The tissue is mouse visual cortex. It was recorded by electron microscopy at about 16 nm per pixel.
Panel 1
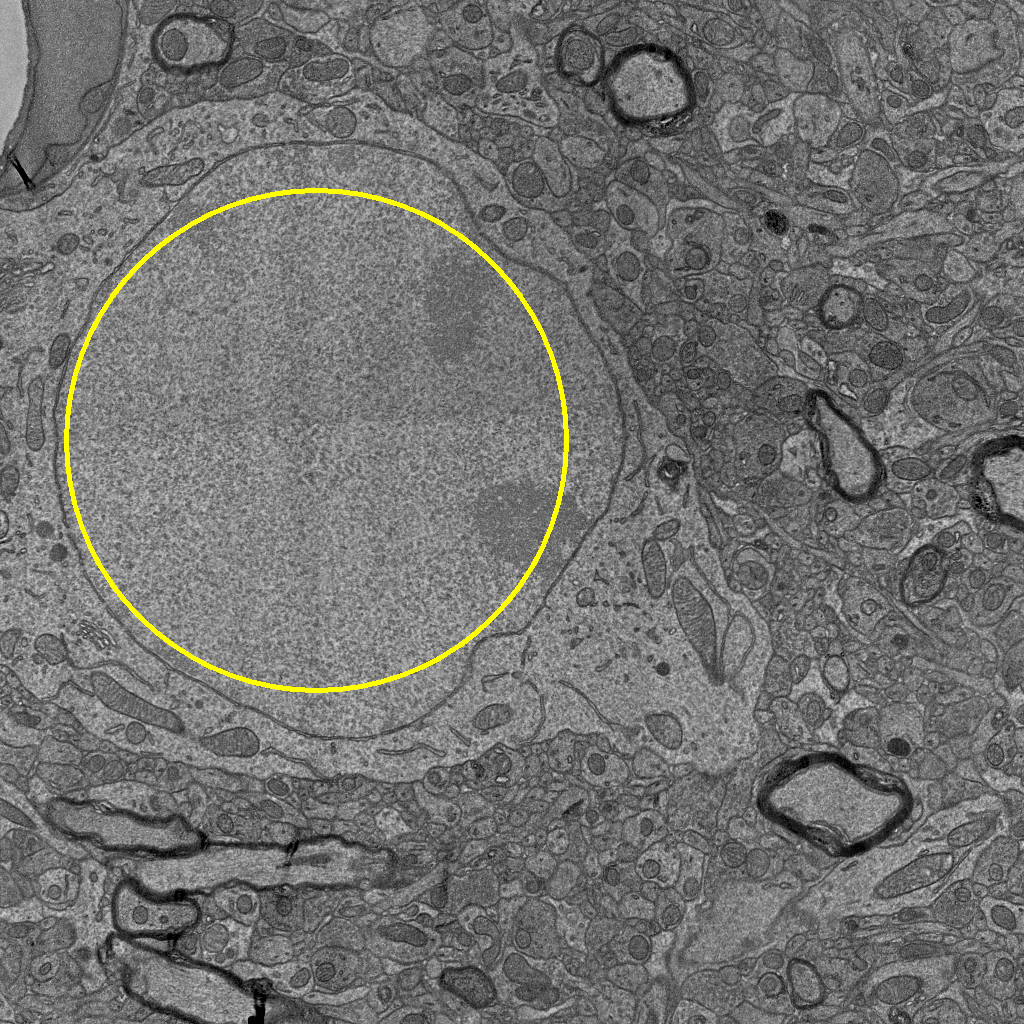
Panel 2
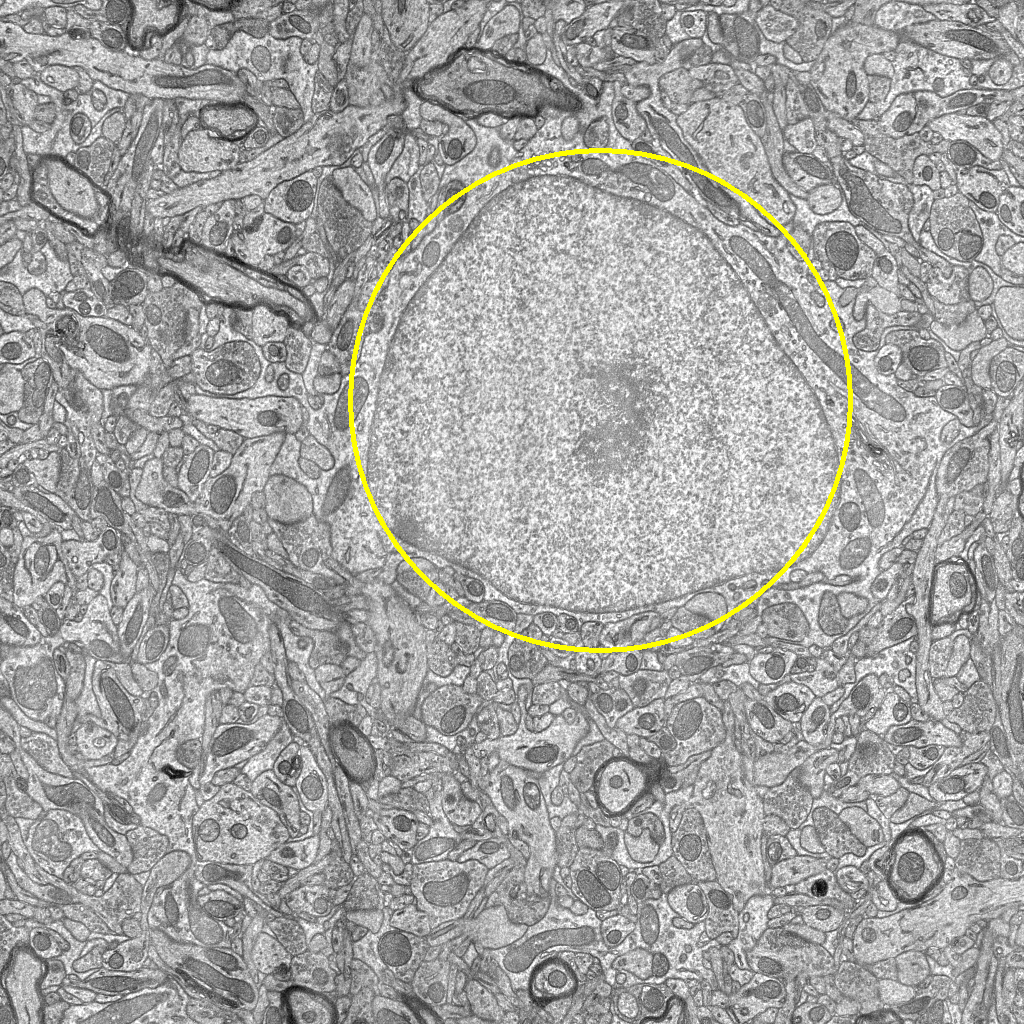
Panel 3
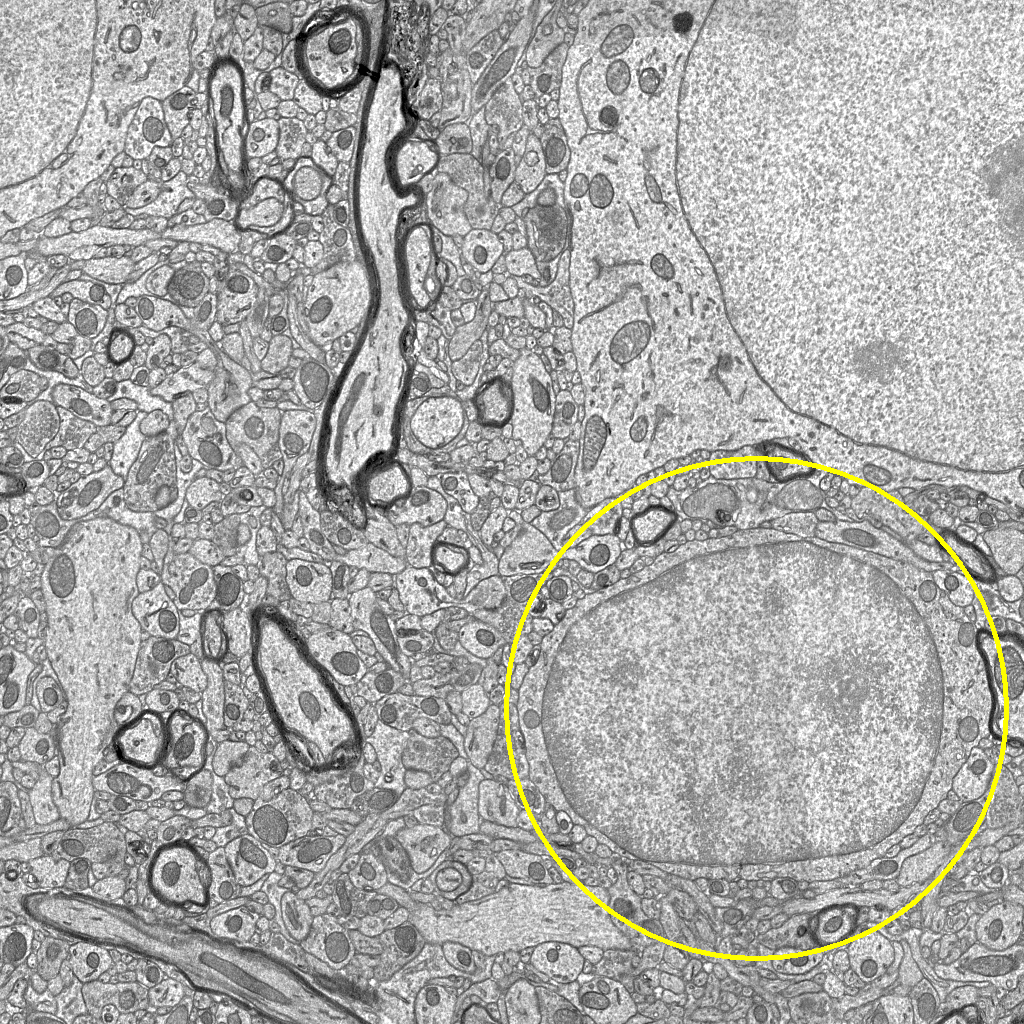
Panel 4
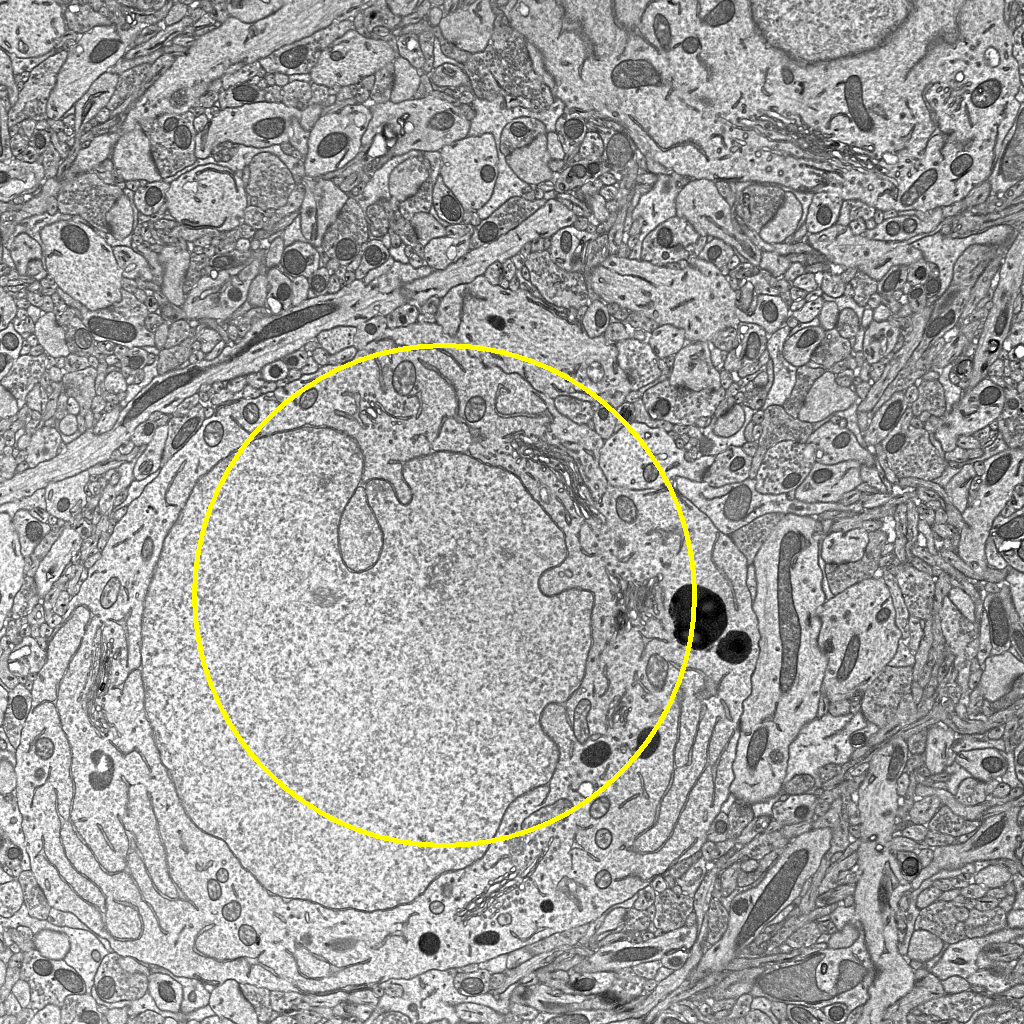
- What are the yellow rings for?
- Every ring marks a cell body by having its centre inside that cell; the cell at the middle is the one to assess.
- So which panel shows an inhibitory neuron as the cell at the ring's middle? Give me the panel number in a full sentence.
The panel whose ring has its middle inside the cell in question is panel 4.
